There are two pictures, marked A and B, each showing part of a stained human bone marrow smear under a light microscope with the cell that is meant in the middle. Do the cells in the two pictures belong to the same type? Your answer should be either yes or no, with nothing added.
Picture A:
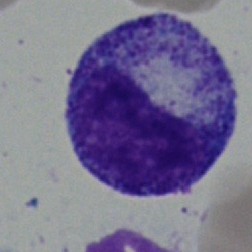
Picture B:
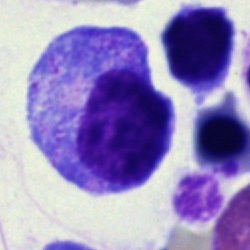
no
